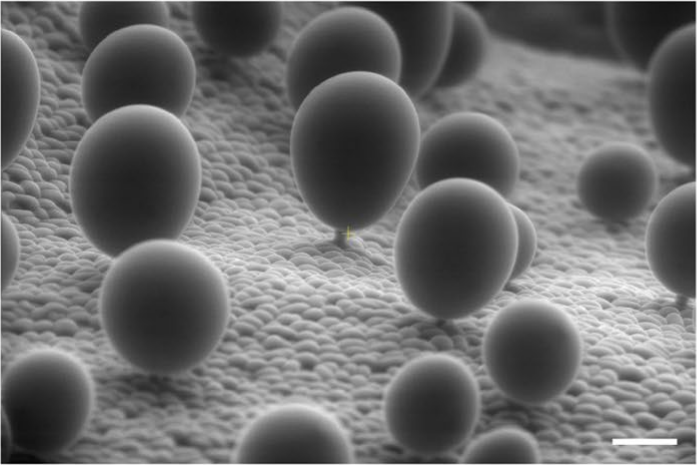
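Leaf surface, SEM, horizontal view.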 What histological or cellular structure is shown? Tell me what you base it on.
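Large smooth spherical to ovoid balloon-like bodies stand above the surface. The underlying surface is covered with many much smaller, tightly packed epidermal cells. That points to this answer: epidermal salt bladders.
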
